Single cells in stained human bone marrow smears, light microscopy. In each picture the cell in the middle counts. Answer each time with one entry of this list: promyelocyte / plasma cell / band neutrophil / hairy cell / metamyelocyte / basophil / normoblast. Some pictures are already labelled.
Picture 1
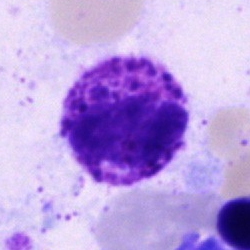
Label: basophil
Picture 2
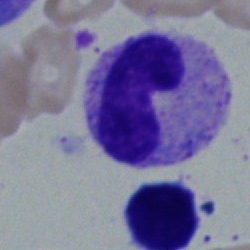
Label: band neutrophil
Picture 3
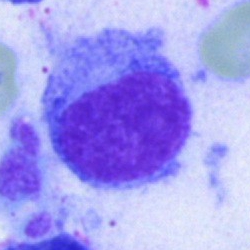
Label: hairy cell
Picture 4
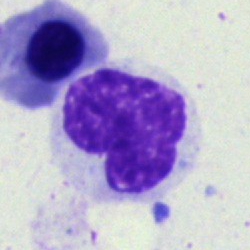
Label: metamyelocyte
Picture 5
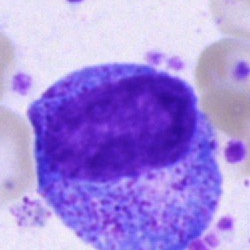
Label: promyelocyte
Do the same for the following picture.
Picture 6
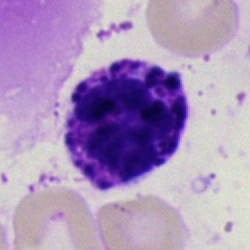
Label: basophil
